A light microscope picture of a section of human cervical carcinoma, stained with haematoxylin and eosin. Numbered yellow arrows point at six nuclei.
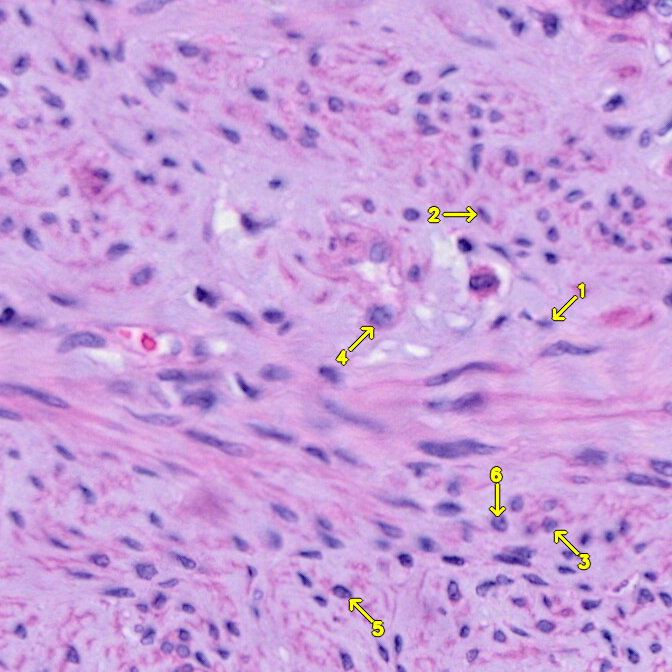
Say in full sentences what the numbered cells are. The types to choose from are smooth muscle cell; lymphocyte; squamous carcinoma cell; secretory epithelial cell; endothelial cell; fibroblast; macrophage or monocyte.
Cell 1 is a fibroblast. Cells 2, 3, 5 and 6 are smooth muscle cells. Cell 4 is an endothelial cell.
